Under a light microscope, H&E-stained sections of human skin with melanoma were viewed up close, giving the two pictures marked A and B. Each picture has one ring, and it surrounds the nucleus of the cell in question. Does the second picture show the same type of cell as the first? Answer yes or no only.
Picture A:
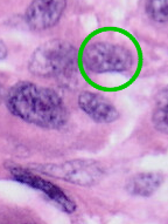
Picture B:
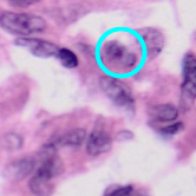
yes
